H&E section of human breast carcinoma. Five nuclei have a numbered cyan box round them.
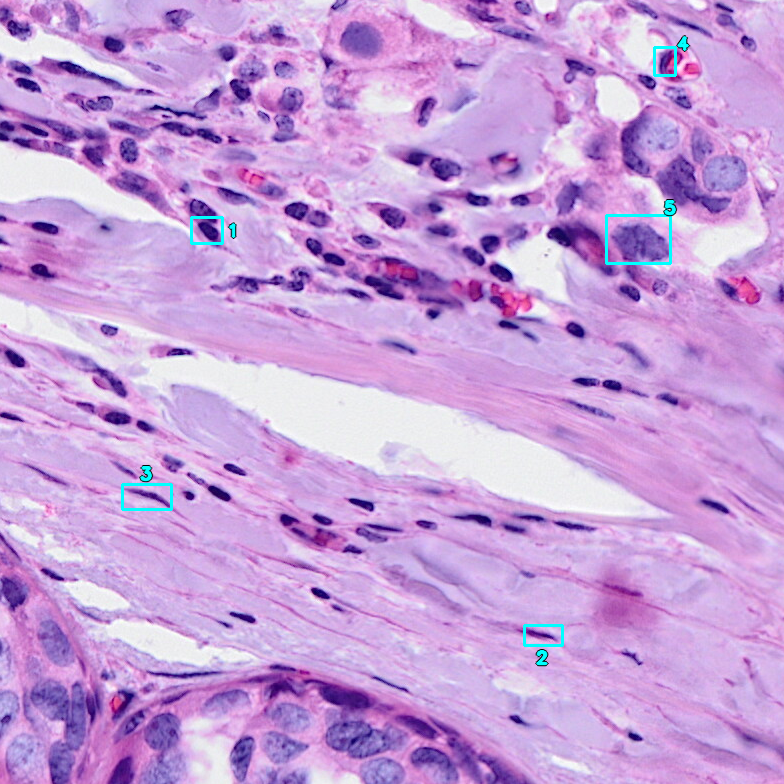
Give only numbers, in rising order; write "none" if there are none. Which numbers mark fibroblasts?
2, 3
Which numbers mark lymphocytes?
1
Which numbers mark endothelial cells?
4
